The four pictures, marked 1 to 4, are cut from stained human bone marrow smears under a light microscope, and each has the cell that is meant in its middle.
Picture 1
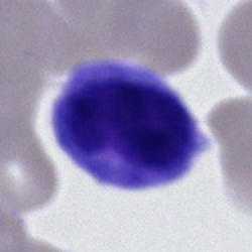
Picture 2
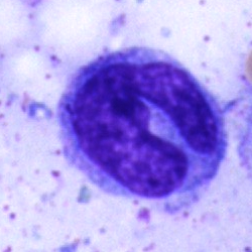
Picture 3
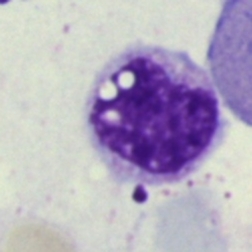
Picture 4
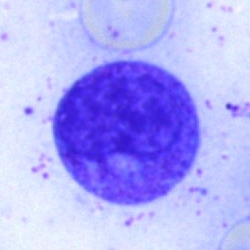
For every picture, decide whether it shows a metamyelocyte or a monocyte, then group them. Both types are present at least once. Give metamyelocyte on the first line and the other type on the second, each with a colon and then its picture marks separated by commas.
metamyelocyte: 3, 4
monocyte: 1, 2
